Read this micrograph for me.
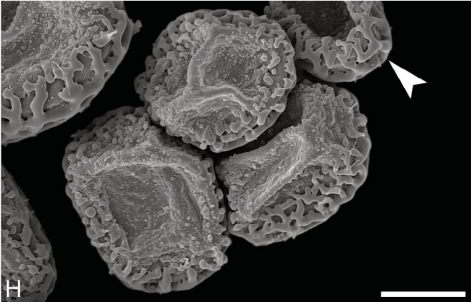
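Several pollen grains are seen, most of them collapsed and irregularly infolded. Their reticulate, perforated outer walls form a thick rim around a sunken, wrinkled central face with ridged folds. One grain at the edge is cup-shaped, its wall curving around an open hollow. The grains lie close together against a dark background.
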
